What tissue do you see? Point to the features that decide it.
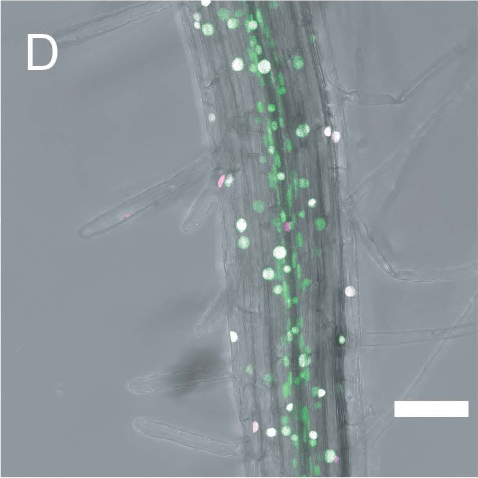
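Root maturation zones. Long tubular root hairs project from the sides of a cylindrical organ. Nuclei are concentrated along a central strand.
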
